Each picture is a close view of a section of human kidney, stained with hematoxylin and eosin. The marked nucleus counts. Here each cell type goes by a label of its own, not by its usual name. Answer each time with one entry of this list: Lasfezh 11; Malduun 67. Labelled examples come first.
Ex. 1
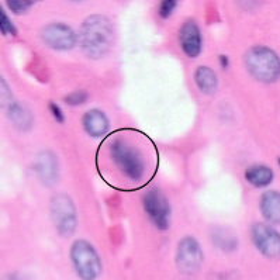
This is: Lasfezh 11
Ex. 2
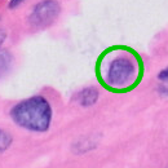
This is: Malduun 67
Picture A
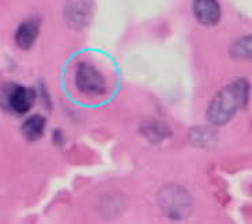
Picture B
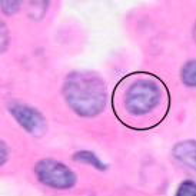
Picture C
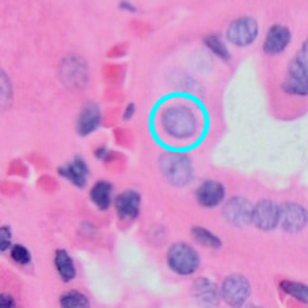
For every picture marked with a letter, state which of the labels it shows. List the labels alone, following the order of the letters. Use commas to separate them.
Malduun 67, Malduun 67, Lasfezh 11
